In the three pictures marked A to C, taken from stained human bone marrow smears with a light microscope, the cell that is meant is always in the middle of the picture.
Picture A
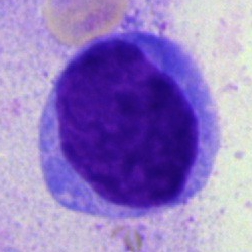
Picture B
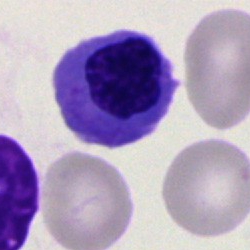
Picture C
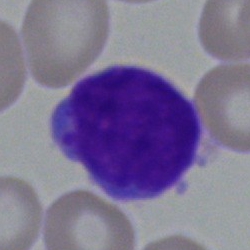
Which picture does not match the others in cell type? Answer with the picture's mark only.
B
